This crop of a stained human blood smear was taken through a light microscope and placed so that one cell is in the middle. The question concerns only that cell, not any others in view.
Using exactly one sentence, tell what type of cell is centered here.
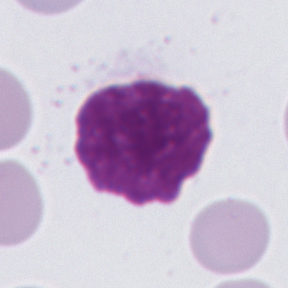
In the center of this field lies a smudge cell.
